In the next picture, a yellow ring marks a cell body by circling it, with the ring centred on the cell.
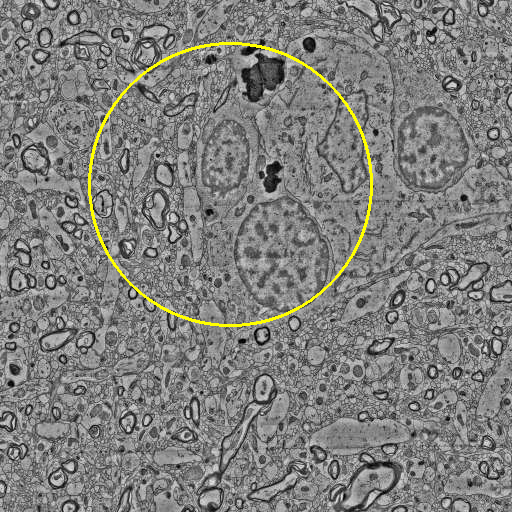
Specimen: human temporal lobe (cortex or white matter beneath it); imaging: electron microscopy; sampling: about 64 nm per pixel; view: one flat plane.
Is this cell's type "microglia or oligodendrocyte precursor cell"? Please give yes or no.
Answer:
no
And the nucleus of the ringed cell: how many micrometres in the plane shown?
About 5 by 3 micrometres; in this plane the nucleus is clearly longer than it is wide.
